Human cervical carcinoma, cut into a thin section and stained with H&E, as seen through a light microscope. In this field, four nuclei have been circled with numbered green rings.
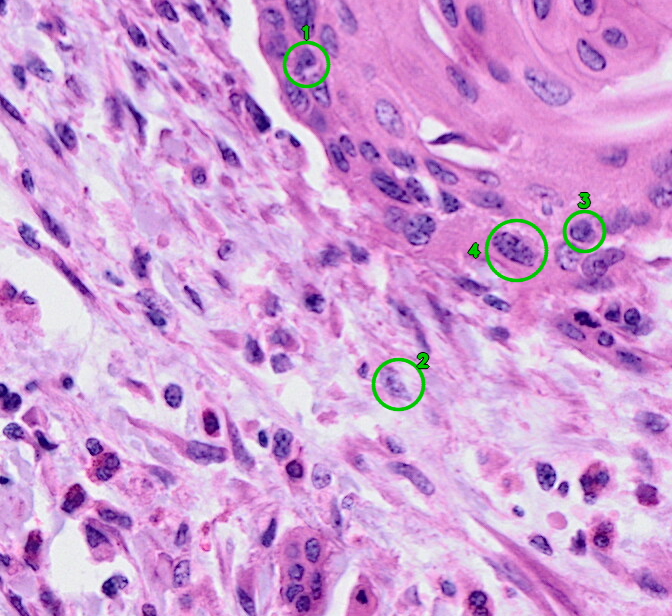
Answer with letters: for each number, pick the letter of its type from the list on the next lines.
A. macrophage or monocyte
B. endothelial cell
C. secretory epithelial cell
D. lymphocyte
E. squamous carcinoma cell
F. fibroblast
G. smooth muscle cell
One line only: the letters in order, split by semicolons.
E; F; E; E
